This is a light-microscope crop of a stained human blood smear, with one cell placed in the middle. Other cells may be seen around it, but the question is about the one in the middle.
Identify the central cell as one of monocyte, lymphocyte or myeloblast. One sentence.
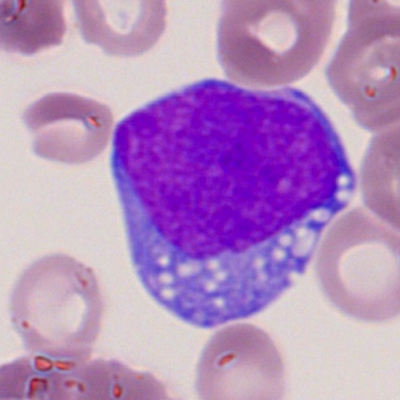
At the crop's centre, the cell is a myeloblast.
